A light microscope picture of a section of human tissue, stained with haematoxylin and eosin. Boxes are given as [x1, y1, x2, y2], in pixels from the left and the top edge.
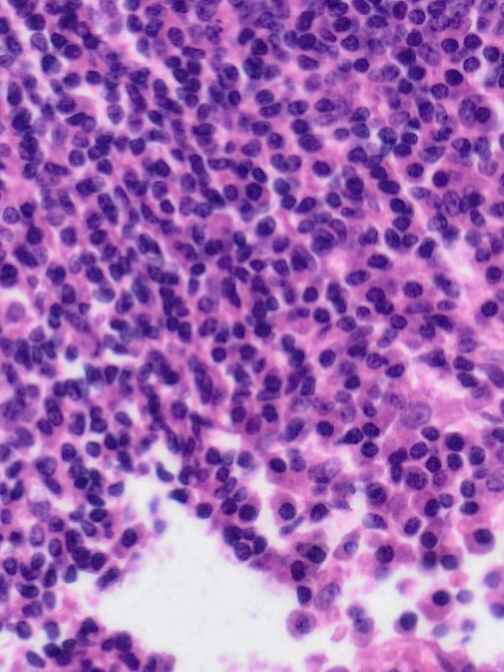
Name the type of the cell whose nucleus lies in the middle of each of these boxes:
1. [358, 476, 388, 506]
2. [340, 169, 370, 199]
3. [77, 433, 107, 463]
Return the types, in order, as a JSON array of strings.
["plasma cell", "small lymphocyte", "small lymphocyte"]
